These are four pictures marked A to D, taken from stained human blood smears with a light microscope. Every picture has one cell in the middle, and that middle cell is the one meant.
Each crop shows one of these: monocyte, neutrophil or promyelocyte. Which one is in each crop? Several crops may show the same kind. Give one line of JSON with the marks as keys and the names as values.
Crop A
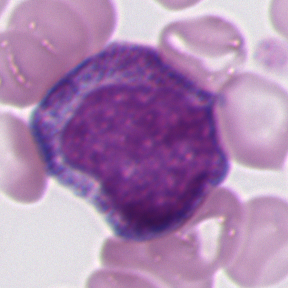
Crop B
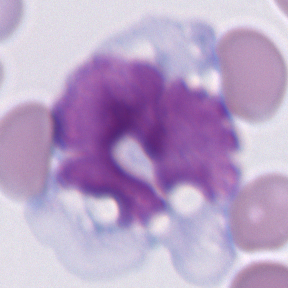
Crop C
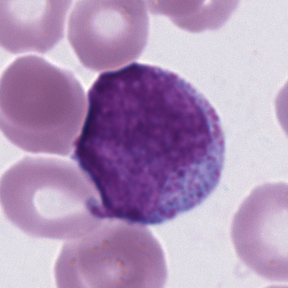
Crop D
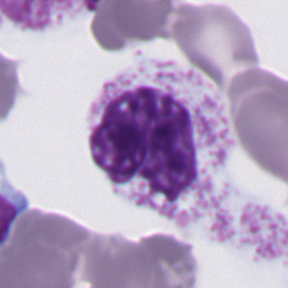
{"A": "promyelocyte", "B": "monocyte", "C": "promyelocyte", "D": "neutrophil"}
